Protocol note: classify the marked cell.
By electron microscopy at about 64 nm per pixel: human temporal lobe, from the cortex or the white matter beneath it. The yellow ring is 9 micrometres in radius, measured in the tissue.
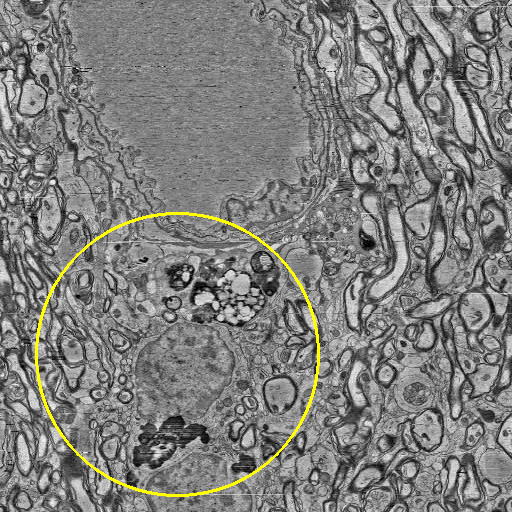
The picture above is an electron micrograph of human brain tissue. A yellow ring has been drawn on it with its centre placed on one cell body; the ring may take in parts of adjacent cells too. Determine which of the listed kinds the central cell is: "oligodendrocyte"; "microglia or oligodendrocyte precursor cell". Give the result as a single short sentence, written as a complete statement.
The central cell is an oligodendrocyte.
